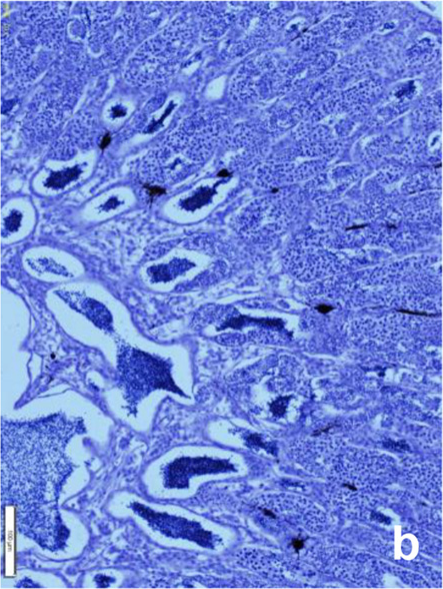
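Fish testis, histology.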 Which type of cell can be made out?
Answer: Active spermatogenic germ cells including sperm.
